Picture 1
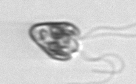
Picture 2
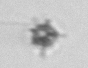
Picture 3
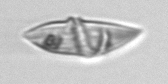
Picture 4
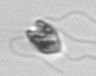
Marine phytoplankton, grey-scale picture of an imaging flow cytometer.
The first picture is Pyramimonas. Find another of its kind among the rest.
Picture 4.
